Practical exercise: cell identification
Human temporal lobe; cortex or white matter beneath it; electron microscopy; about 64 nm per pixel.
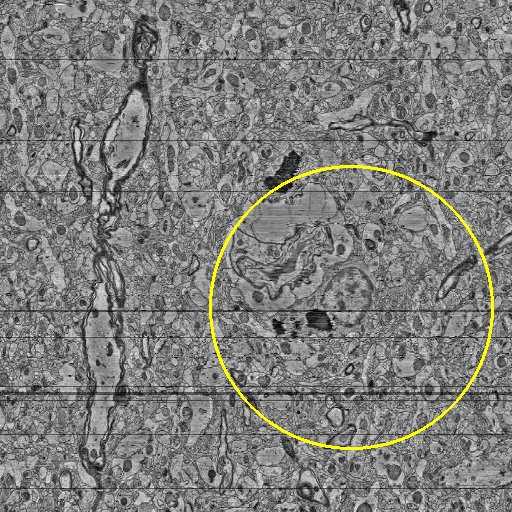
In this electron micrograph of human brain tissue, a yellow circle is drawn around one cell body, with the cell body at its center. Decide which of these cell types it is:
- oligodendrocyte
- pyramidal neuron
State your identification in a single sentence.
The ringed cell is an oligodendrocyte.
